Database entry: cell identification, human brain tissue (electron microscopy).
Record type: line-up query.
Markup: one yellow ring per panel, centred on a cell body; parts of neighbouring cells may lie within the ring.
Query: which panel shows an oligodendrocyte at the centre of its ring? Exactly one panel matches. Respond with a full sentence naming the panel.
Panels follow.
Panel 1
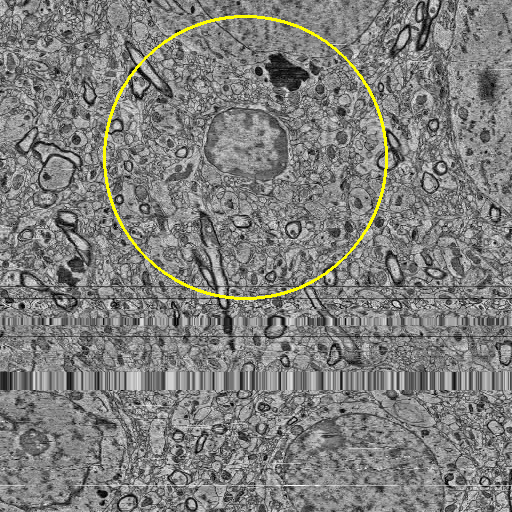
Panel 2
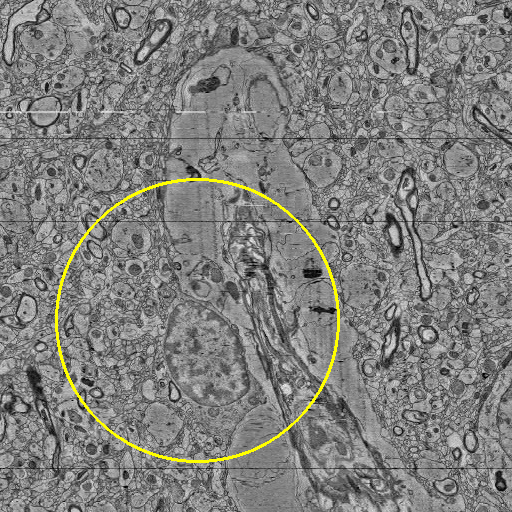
Panel 2 shows it at the centre of the ring.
